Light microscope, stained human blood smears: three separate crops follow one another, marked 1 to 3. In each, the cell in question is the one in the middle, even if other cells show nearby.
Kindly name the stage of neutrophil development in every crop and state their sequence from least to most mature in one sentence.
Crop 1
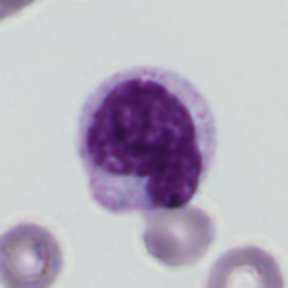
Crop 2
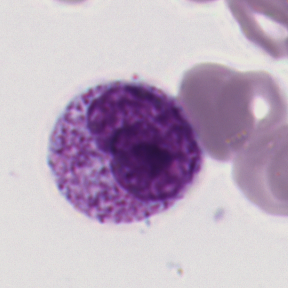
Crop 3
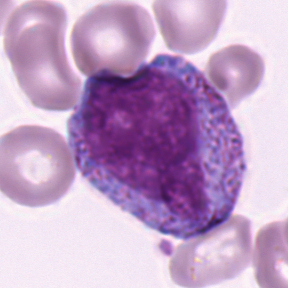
Listed from least to most mature, the crops read crop 3 (a promyelocyte), crop 2 (a metamyelocyte) and crop 1 (a band neutrophil).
